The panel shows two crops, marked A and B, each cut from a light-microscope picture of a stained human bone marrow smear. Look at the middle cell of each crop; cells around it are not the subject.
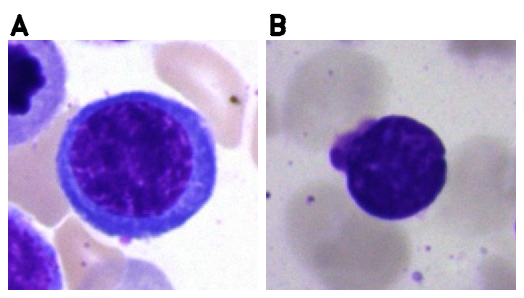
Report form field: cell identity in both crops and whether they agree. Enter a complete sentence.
No, it is crop A that shows an erythroblast, and crop B that shows a lymphocyte.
